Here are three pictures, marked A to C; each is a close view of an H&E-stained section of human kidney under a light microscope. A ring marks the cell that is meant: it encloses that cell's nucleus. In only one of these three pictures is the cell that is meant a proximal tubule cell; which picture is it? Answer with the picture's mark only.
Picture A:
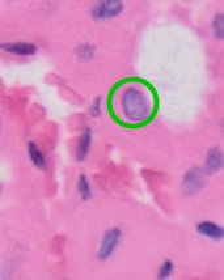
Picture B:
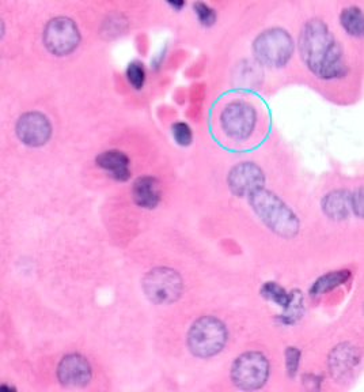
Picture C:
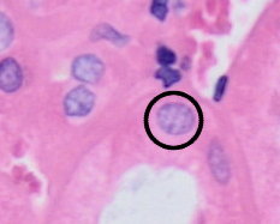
C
